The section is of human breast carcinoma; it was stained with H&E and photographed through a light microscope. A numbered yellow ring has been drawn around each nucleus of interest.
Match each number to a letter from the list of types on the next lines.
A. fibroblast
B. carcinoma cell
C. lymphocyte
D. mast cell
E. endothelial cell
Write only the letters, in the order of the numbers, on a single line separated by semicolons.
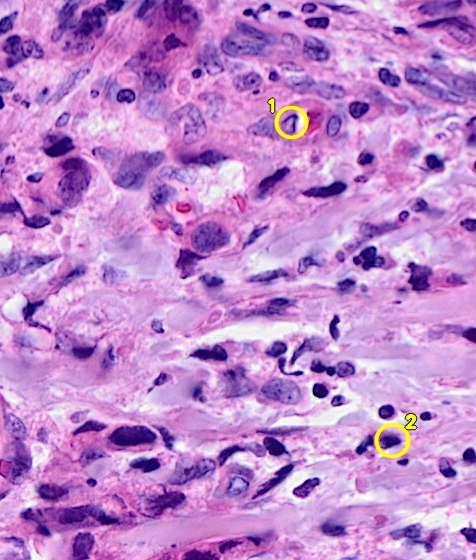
E; C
